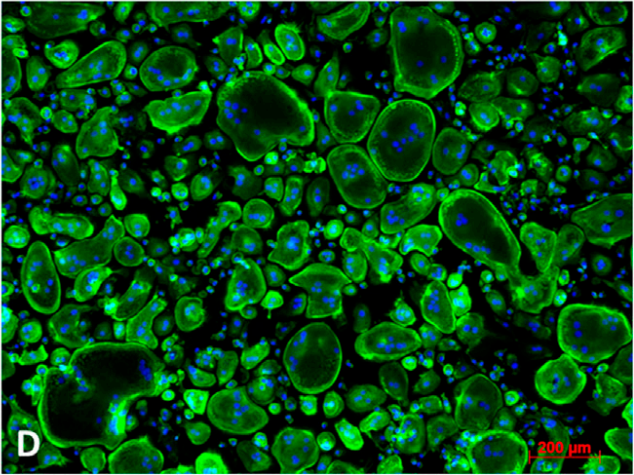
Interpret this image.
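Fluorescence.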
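Large, flattened cells packed side by side fill the field, each containing many blue nuclei scattered through a broad, faintly green cytoplasm. Small round cells with a single nucleus lie in the gaps between them.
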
